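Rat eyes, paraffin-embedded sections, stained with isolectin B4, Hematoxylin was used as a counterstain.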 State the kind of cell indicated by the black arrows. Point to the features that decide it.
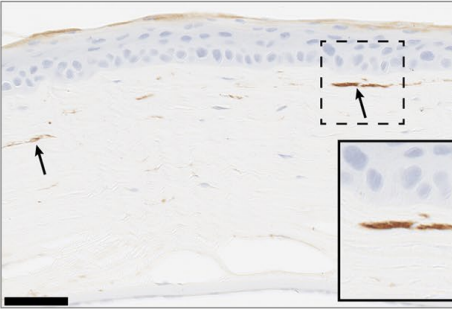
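The arrows point to thin, flattened, elongated cells lying between the collagen lamellae of a thick stroma. A stratified epithelium with several layers of nuclei lies above the stroma. That points to this answer: keratocytes.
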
